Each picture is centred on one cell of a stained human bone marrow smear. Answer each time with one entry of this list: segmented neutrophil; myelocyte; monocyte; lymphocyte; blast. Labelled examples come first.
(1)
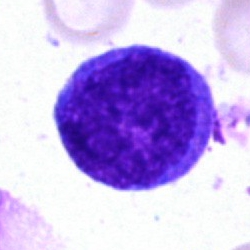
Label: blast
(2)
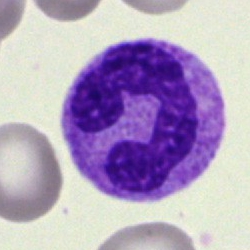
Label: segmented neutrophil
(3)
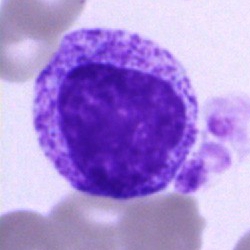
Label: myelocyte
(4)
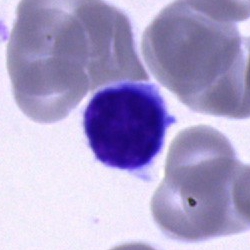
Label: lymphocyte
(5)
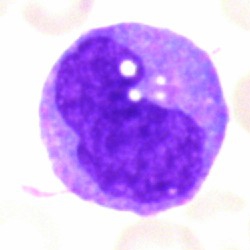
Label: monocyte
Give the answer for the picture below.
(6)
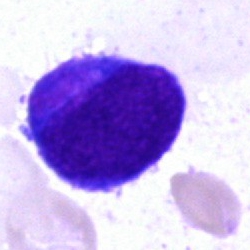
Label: blast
